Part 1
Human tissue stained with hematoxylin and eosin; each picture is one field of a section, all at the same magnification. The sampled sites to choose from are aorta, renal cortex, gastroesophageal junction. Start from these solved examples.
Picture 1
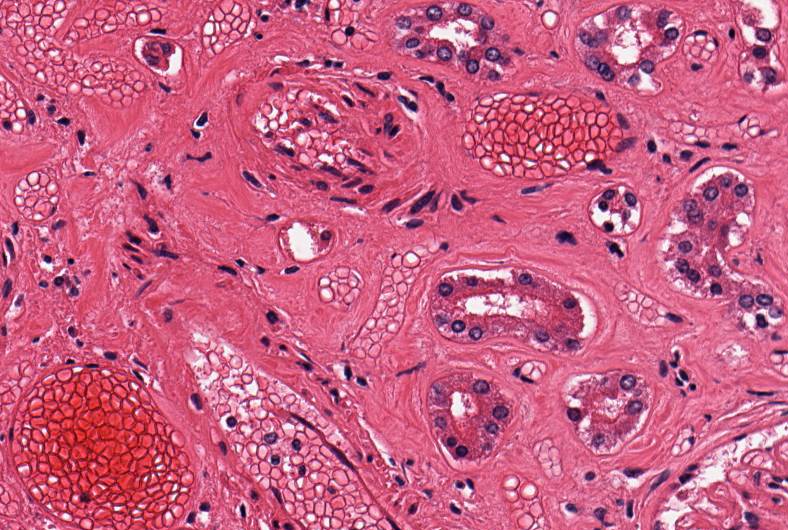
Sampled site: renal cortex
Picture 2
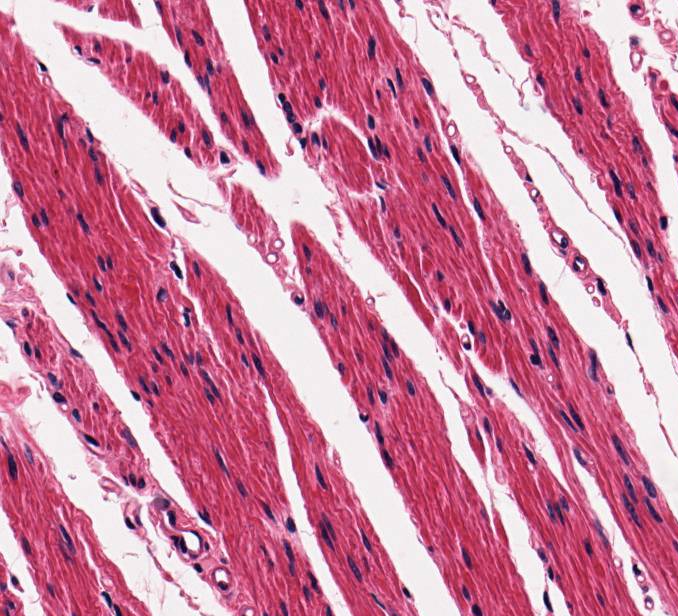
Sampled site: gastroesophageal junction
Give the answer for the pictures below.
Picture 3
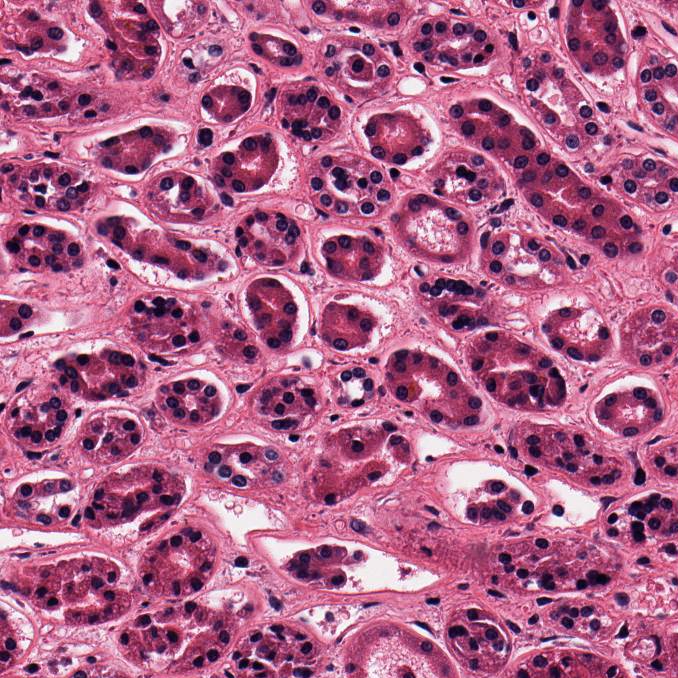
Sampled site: renal cortex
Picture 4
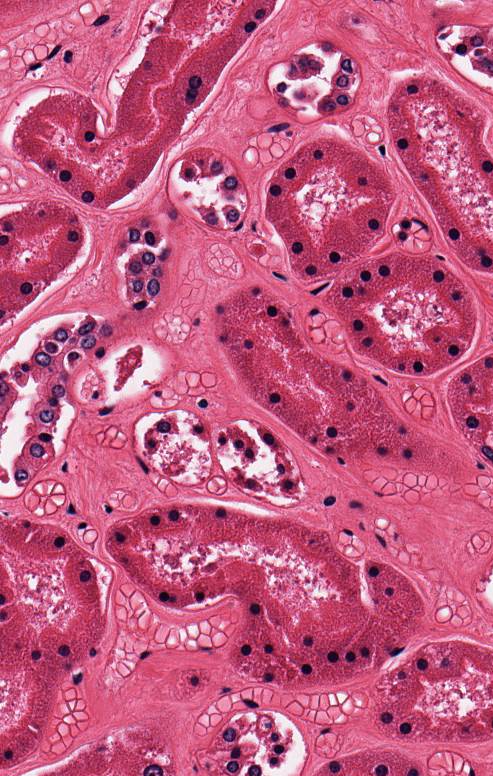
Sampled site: renal cortex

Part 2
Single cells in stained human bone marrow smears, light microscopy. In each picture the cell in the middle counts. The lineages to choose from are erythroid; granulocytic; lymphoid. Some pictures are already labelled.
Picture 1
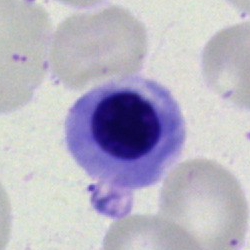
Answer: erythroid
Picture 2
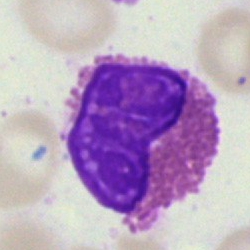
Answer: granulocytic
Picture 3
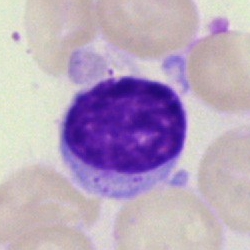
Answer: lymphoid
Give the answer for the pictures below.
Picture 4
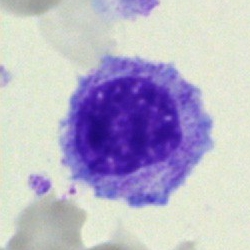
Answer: granulocytic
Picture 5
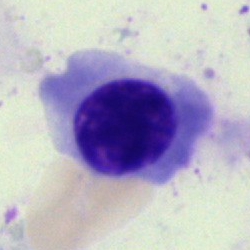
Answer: erythroid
